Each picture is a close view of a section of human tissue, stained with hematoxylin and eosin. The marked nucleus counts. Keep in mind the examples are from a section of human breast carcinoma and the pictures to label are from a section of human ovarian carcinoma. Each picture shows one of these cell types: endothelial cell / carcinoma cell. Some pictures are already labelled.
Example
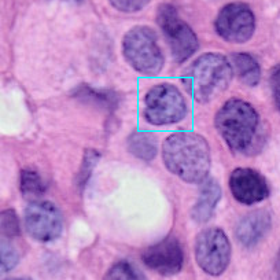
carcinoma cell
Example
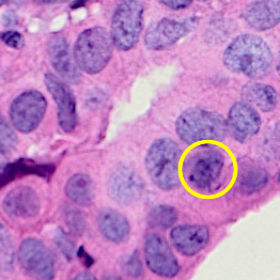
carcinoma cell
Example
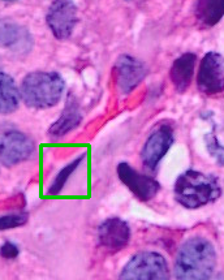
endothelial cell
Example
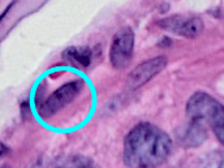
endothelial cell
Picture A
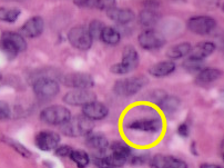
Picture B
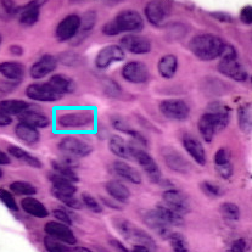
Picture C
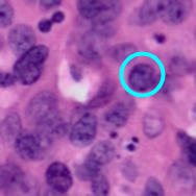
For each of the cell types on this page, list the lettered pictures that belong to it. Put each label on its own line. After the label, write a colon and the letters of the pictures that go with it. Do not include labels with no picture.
carcinoma cell: A, B, C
